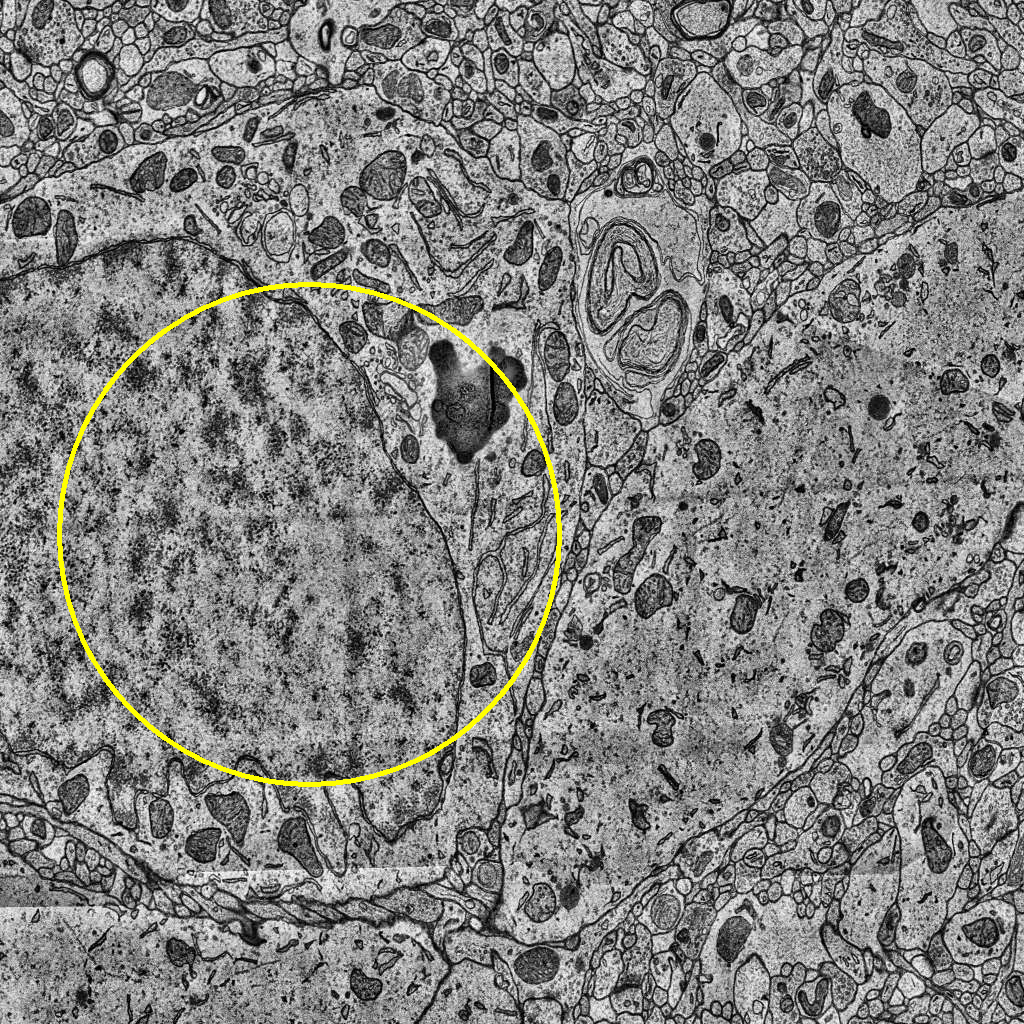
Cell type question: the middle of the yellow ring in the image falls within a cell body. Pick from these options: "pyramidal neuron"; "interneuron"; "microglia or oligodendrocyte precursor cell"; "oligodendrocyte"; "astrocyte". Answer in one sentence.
The cell body at the center of the ring belongs to an interneuron.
